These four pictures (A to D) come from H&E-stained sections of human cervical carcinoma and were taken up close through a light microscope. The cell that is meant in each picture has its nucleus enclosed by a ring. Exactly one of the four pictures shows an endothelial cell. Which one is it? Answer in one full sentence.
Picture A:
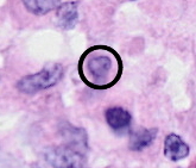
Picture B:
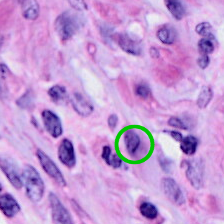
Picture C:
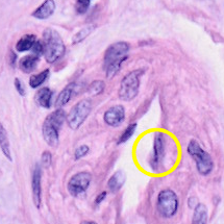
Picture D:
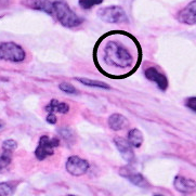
It is picture C that shows the endothelial cell.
